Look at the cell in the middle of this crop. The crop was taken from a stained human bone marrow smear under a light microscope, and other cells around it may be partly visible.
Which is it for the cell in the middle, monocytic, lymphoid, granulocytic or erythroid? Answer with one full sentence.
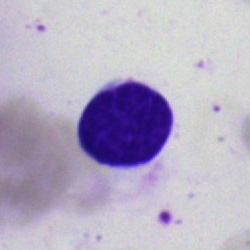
As for the cell in the middle, its lineage is lymphoid.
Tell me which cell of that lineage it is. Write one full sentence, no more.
Seen at the centre of the crop is a lymphocyte.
